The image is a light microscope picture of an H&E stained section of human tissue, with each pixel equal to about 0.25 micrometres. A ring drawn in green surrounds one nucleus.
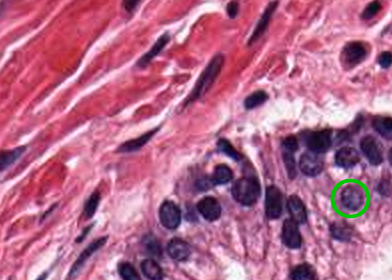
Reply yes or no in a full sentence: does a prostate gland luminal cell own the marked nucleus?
Yes, a prostate gland luminal cell is what the marked nucleus belongs to.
